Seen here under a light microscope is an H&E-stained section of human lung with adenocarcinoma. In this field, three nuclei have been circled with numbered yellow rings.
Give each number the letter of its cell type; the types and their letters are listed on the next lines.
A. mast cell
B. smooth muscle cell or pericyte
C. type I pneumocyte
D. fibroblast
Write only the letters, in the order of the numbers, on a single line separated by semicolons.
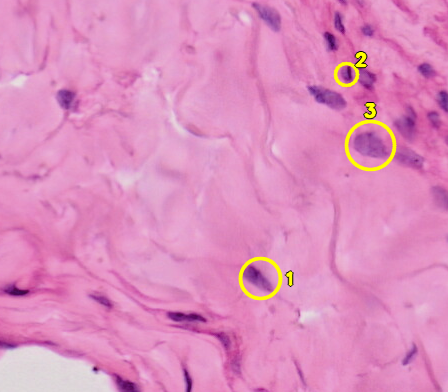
D; B; D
